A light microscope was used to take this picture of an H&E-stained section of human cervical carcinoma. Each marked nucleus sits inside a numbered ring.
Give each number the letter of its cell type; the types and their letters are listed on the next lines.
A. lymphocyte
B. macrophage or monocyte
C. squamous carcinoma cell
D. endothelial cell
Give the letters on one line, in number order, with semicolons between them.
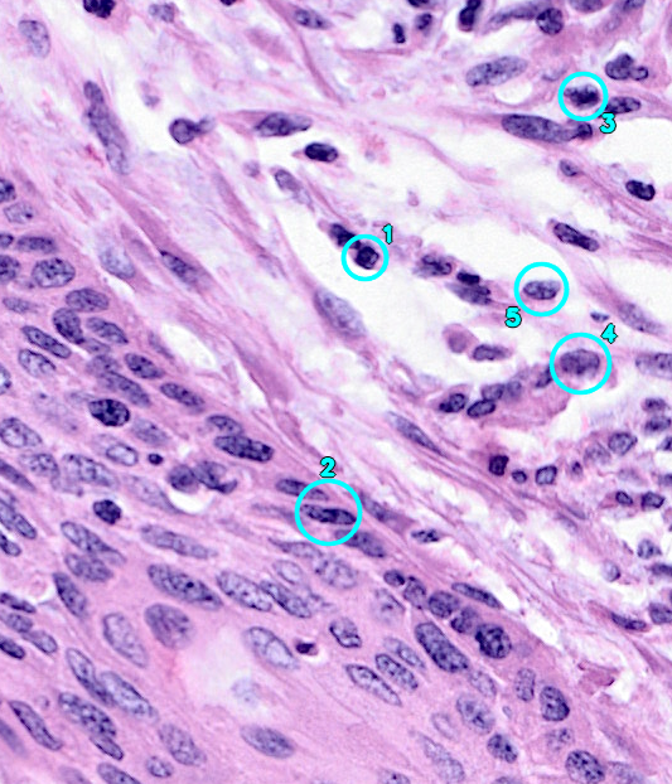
A; C; A; B; A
